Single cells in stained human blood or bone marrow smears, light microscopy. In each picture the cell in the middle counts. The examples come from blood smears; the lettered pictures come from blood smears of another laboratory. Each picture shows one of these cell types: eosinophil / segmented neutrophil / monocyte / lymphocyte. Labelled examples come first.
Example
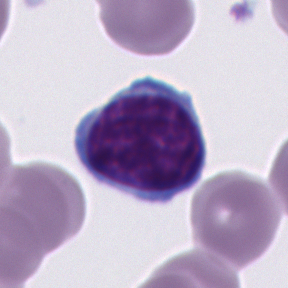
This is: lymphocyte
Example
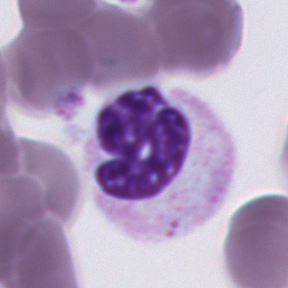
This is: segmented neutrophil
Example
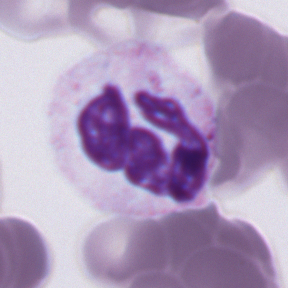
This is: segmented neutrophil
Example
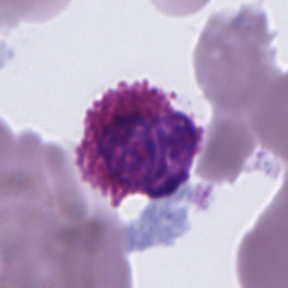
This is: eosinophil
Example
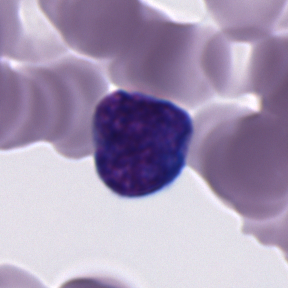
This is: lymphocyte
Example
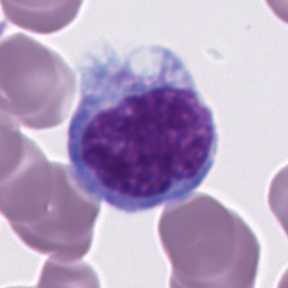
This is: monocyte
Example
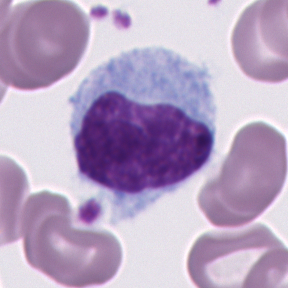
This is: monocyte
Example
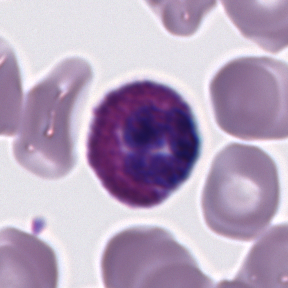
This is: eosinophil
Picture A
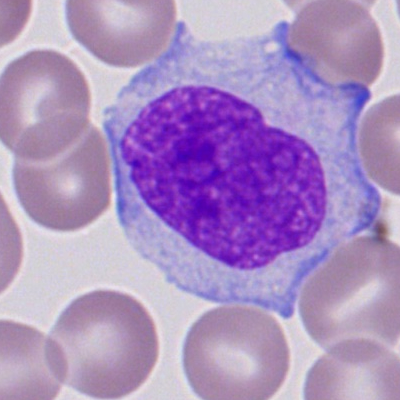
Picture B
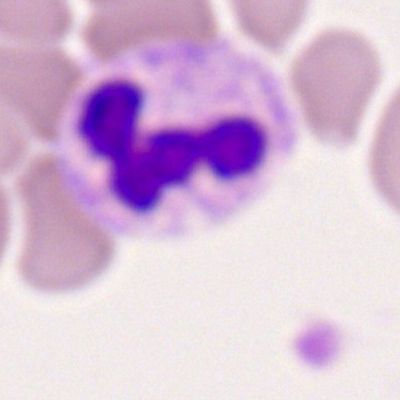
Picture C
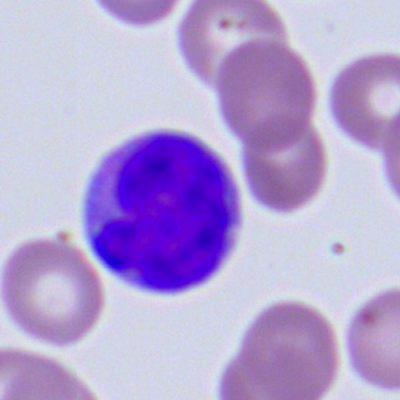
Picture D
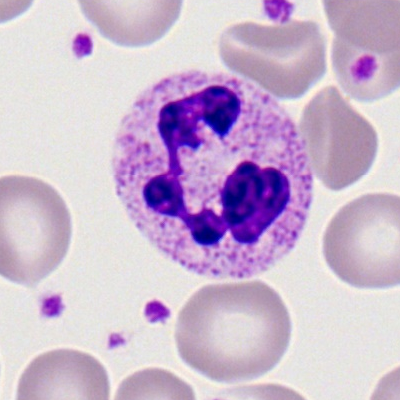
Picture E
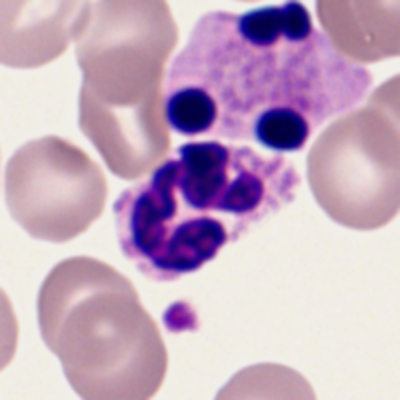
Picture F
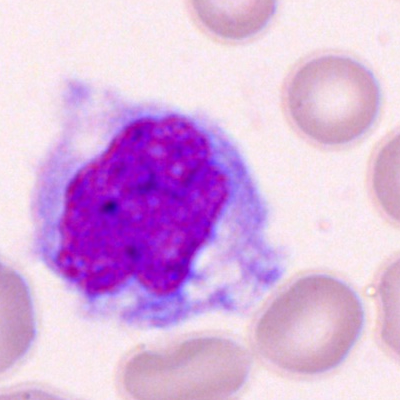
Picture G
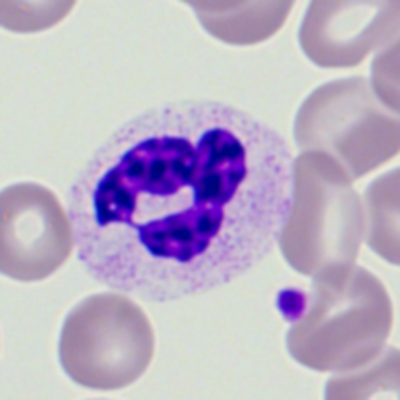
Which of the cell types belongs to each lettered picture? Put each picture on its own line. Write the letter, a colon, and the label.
A: monocyte
B: segmented neutrophil
C: lymphocyte
D: segmented neutrophil
E: segmented neutrophil
F: monocyte
G: segmented neutrophil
